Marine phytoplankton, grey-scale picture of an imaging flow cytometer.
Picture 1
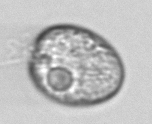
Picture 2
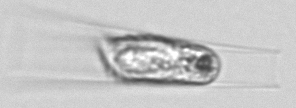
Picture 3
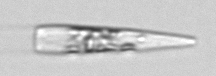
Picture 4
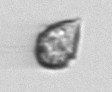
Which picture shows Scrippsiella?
Picture 4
